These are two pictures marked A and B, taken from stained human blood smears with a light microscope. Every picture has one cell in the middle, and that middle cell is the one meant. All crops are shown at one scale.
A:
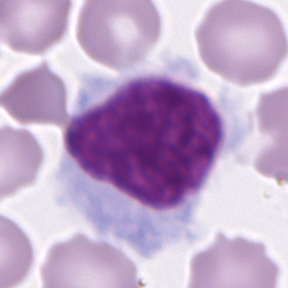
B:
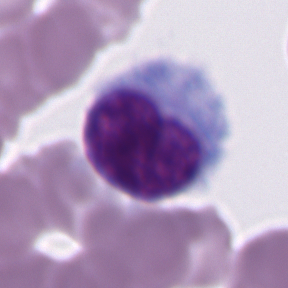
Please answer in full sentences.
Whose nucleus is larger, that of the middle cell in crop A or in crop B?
It is the nucleus in crop A, about 1.5 times as large in area as the one in crop B.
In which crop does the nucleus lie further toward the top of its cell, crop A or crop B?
The nucleus in crop A lies further toward the top of its cell.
